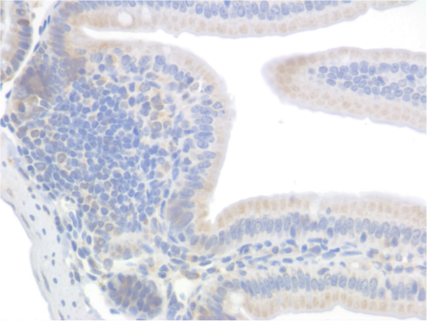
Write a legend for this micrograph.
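This is small intestinal mucosa, with slender villi covered by a single layer of columnar epithelial cells. A dense aggregate of small round lymphoid cells with blue nuclei sits at left. Only faint brown tint is seen, mostly in the epithelium, and the lymphoid cells are mostly blue.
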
